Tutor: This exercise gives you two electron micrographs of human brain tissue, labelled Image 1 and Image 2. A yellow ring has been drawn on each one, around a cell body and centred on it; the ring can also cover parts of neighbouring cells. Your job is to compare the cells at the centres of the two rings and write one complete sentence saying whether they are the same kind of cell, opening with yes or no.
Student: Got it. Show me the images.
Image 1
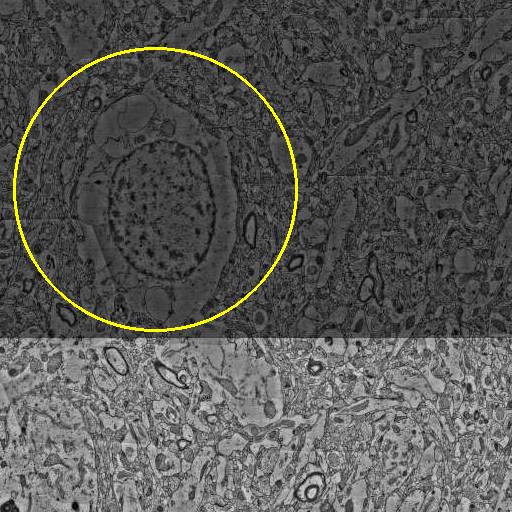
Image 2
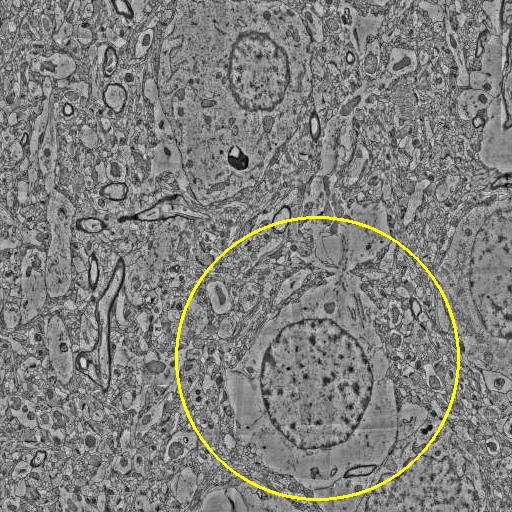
Yes, the two cells belong to the same kind.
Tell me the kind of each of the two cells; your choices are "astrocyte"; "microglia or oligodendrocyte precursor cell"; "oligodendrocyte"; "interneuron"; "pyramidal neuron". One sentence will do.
Both cells are the same kind, each one being an astrocyte.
